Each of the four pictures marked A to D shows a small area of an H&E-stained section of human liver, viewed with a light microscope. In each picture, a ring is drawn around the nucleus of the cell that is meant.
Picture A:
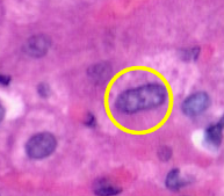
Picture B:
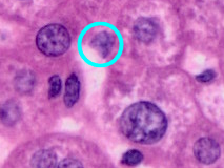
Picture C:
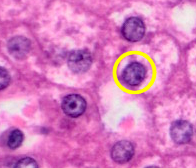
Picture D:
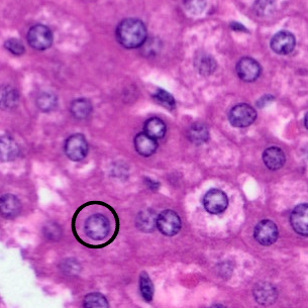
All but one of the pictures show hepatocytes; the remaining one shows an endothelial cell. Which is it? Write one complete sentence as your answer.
Picture B is the one that shows the endothelial cell.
